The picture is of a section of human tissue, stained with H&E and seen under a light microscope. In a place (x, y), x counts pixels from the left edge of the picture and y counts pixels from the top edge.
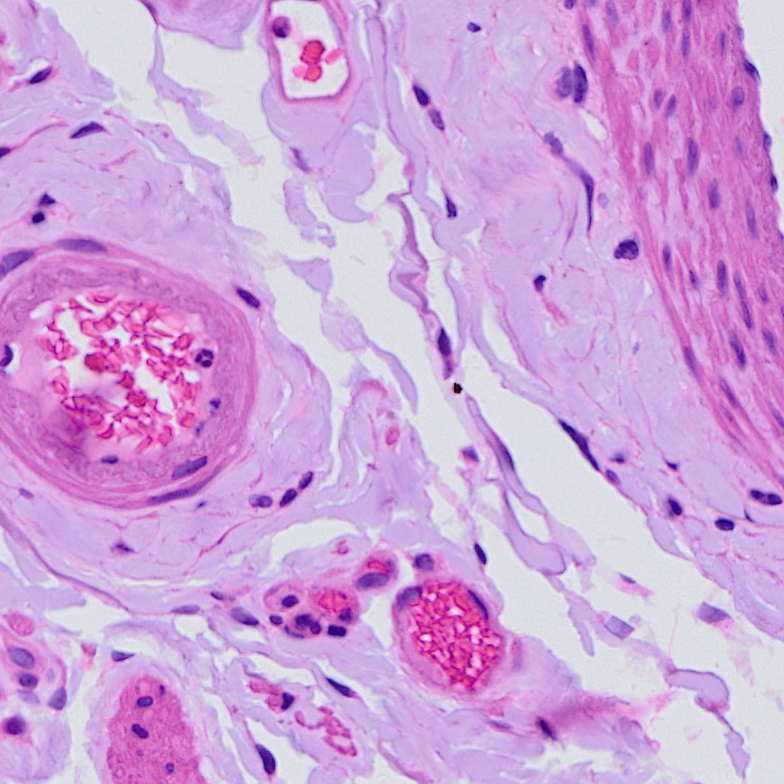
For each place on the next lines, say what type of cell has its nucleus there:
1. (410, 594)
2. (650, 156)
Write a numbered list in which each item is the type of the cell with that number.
1. endothelial cell
2. smooth muscle cell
